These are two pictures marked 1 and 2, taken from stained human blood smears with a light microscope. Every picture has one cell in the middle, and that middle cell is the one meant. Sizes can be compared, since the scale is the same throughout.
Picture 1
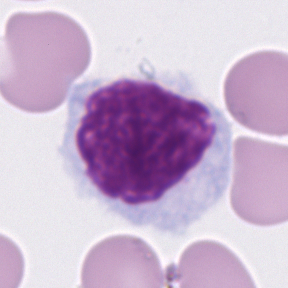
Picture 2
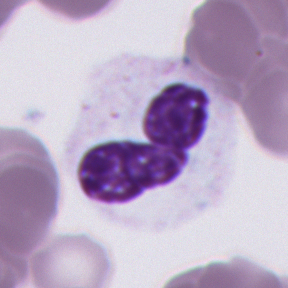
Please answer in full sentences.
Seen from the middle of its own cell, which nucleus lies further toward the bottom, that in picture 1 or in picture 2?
Seen within its cell, the nucleus in picture 2 lies further toward the bottom.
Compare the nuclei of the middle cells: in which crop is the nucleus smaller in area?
Smaller is the nucleus in picture 2, and the other is about 1.5 times as large in area.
